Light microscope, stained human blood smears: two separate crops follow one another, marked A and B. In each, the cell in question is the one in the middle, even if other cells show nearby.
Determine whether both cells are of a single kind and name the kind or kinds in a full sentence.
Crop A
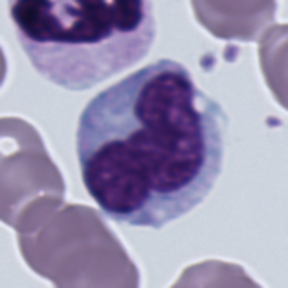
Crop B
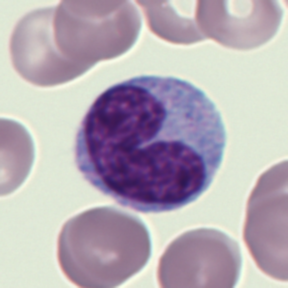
Yes, the centred cells are monocytes in both crops.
